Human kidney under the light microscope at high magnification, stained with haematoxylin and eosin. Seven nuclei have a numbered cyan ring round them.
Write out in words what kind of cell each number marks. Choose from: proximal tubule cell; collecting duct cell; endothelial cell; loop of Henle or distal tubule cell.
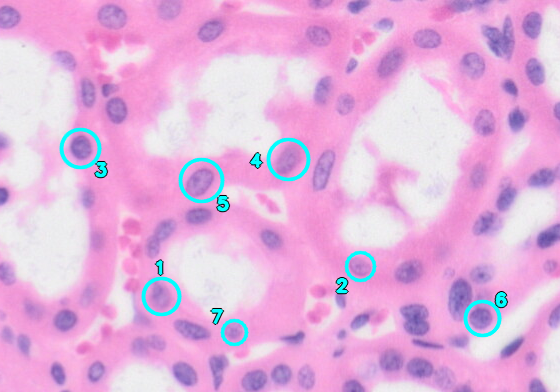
Cell 1 is a collecting duct cell, cell 2 is a proximal tubule cell, cell 3 is a loop of Henle or distal tubule cell, cell 4 is a proximal tubule cell, cell 5 is a proximal tubule cell, cell 6 is a collecting duct cell and cell 7 is a collecting duct cell.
